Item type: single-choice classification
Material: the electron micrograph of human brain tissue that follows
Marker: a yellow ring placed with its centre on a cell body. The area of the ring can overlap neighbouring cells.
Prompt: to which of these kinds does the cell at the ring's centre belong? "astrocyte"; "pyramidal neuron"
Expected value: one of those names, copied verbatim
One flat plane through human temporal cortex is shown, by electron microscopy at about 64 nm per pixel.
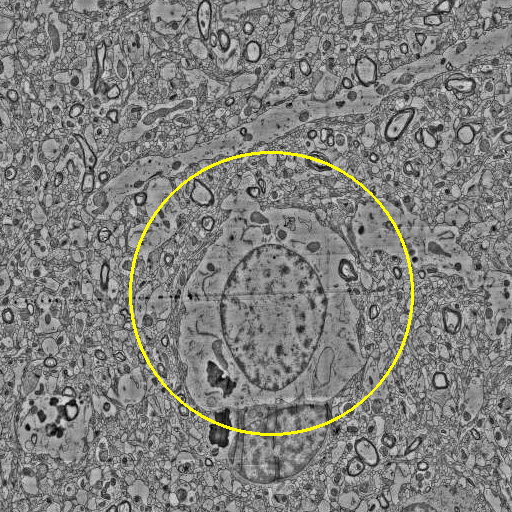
astrocyte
